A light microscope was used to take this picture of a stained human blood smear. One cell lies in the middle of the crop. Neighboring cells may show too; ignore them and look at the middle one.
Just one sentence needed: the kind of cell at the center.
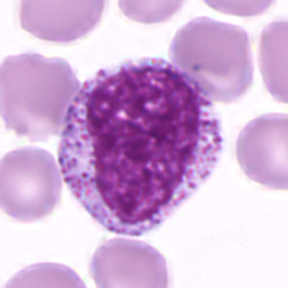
The cell in the middle of the field of view is a metamyelocyte.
